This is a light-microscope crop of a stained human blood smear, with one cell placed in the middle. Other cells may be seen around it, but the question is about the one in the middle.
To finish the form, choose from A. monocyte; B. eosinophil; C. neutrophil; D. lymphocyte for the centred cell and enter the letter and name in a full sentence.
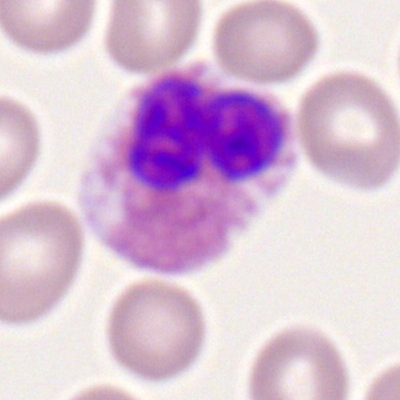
The cell right in the middle is an eosinophil, so option B is the one.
